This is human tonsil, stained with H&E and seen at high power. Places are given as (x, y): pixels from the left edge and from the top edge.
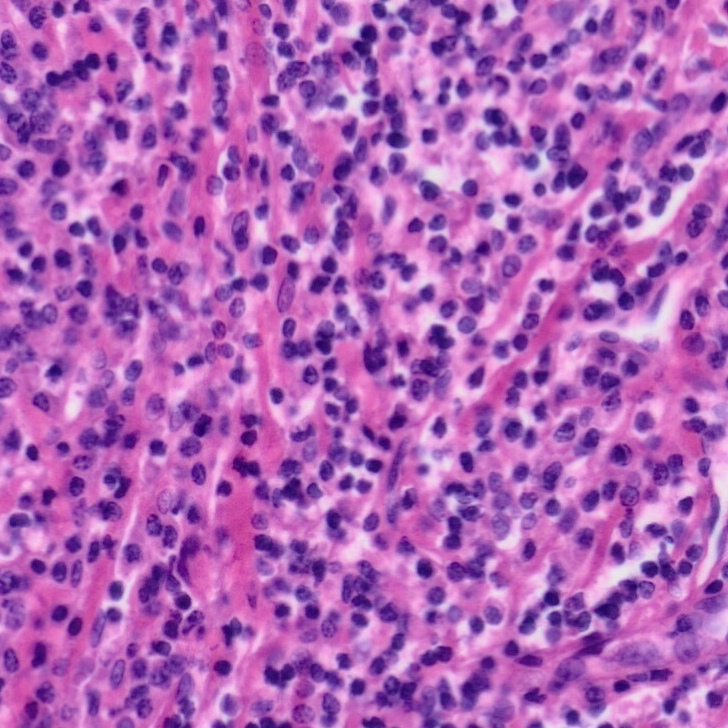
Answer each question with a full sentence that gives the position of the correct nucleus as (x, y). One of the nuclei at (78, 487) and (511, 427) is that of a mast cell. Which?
The nucleus that sits at (511, 427) is the nucleus of a mast cell.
